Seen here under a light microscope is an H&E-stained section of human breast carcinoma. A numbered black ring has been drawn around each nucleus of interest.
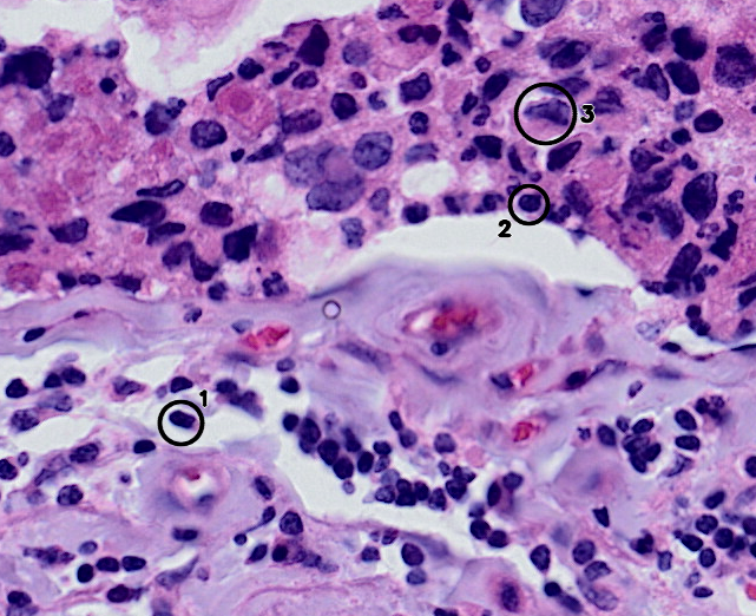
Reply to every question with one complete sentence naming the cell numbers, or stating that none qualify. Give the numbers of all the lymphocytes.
Here, the cells that carry numbers 1 and 2 are lymphocytes.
